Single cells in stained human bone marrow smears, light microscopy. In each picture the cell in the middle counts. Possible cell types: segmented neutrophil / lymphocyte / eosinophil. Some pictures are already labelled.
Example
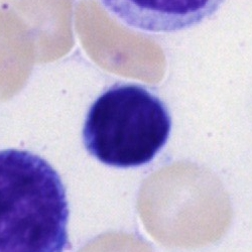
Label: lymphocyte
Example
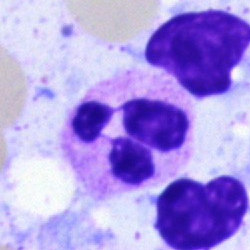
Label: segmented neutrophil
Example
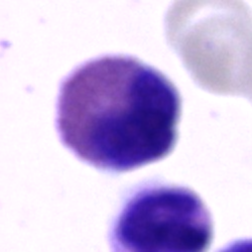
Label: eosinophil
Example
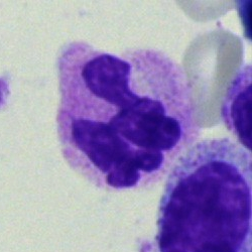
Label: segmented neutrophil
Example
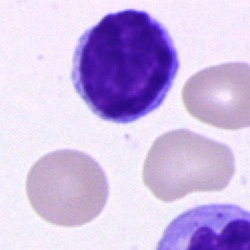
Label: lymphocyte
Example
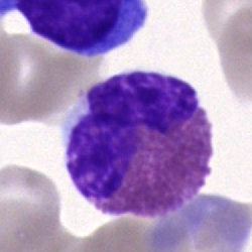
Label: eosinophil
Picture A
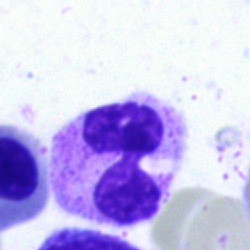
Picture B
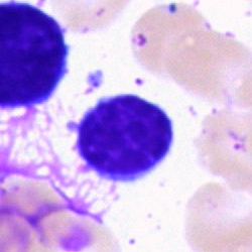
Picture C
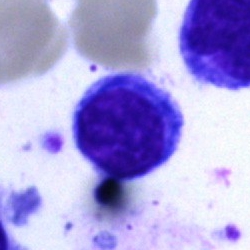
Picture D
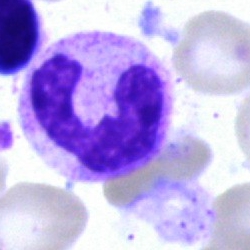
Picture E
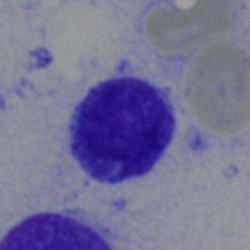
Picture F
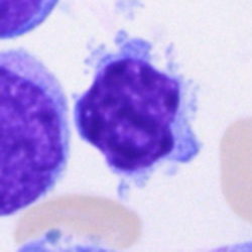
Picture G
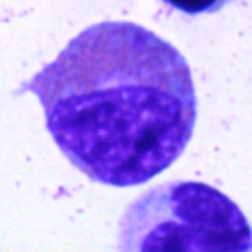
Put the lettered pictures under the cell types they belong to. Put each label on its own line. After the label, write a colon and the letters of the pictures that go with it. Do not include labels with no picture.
segmented neutrophil: A, D
lymphocyte: B, C, E, F
eosinophil: G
